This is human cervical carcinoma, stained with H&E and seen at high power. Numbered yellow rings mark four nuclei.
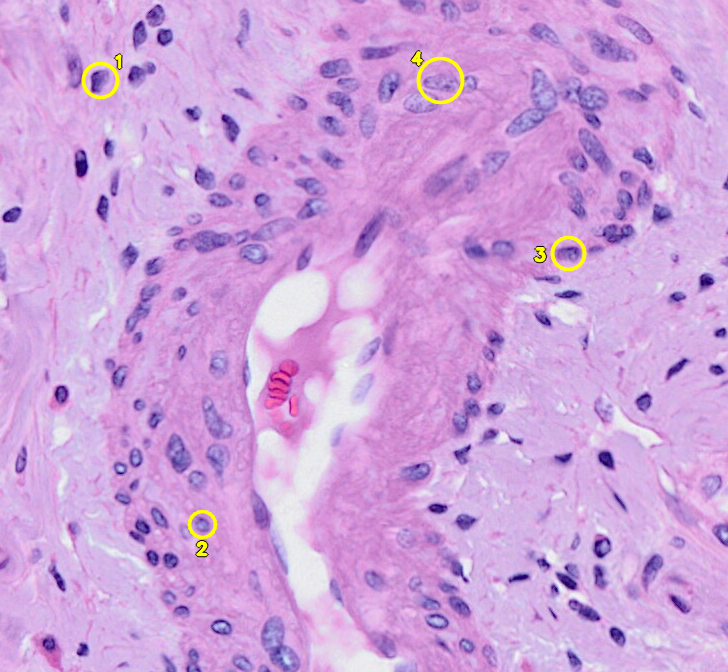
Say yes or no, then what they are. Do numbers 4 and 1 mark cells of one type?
No, cell 4 is a smooth muscle cell and cell 1 is a fibroblast.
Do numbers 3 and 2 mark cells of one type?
Yes, both are smooth muscle cells.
